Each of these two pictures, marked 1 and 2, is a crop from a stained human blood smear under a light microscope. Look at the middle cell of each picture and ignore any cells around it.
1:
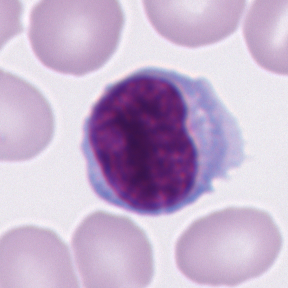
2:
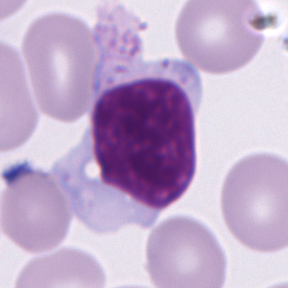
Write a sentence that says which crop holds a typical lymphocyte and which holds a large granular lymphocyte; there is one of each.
The cell centred in crop 1 is a typical lymphocyte, while the one centred in crop 2 is a large granular lymphocyte.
